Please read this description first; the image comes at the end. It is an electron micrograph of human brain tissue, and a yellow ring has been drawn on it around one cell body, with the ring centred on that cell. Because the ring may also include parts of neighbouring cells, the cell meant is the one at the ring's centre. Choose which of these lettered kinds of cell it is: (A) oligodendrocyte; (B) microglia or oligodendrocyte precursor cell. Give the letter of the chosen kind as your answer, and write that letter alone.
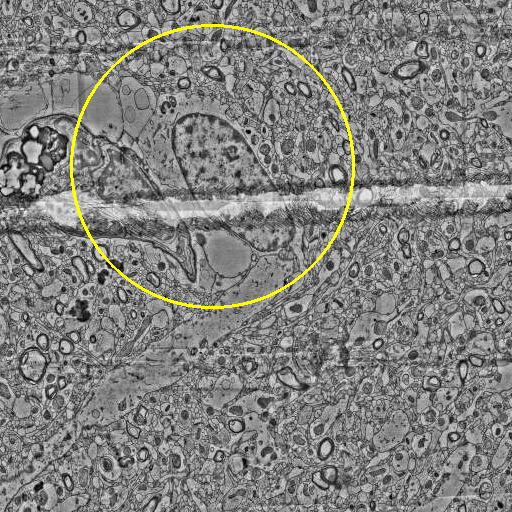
B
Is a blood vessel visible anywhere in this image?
Yes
